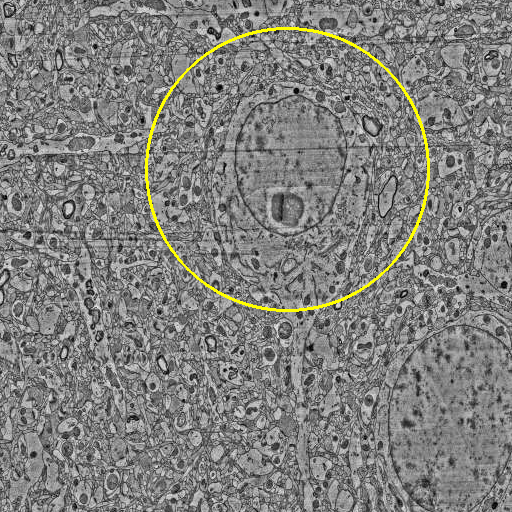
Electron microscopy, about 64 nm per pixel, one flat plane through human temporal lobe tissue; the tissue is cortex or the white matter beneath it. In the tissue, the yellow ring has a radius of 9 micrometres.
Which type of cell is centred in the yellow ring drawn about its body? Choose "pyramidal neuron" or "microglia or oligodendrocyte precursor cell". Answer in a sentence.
The yellow ring surrounds the cell body of a pyramidal neuron.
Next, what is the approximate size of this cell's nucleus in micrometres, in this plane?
In this plane, approximately 9 by 7 micrometers.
